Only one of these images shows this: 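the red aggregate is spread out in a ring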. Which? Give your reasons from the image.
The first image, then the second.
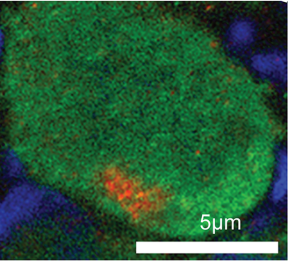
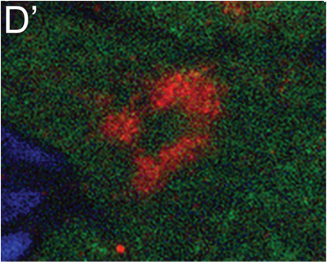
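The second image. Second image: the red granules form a loose loop around a darker centre. First image: the red signal is one compact patch to one side of the cell.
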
